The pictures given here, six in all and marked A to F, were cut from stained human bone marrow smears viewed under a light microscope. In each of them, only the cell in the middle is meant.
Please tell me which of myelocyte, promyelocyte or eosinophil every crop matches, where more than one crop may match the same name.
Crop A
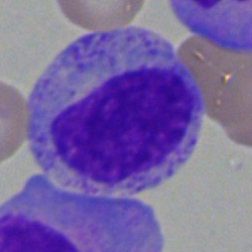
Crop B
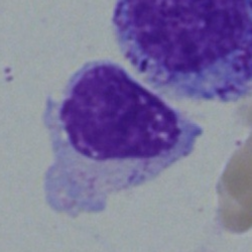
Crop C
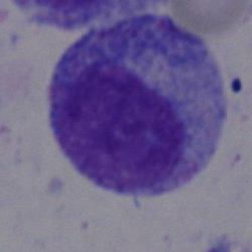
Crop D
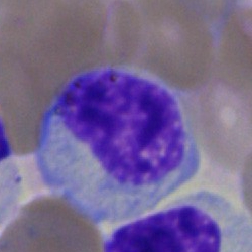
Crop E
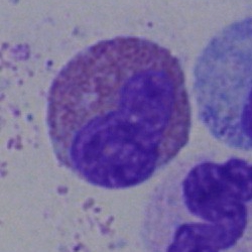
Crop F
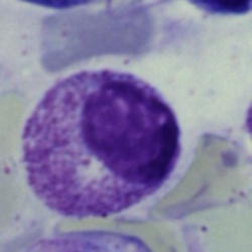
A: myelocyte
B: myelocyte
C: promyelocyte
D: myelocyte
E: eosinophil
F: myelocyte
